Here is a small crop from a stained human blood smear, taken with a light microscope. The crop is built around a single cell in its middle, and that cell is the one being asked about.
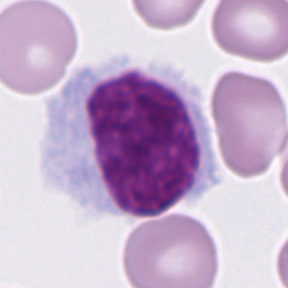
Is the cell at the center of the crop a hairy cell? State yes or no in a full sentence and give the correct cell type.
Yes, that is right: the middle cell is a hairy cell.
